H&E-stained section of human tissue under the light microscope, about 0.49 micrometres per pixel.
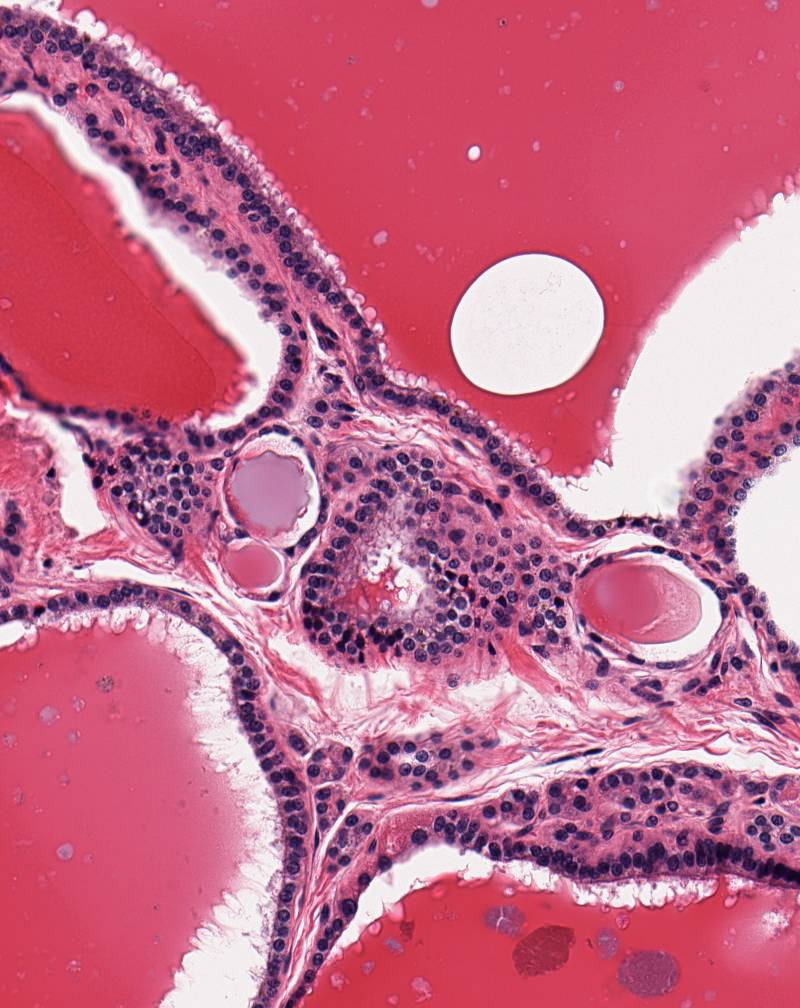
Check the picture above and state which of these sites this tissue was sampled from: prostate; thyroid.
thyroid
